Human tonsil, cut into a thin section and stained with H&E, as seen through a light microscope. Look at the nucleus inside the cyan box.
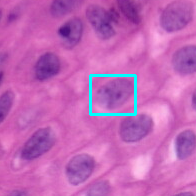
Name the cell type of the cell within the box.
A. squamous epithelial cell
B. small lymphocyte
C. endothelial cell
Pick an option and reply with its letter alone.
A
